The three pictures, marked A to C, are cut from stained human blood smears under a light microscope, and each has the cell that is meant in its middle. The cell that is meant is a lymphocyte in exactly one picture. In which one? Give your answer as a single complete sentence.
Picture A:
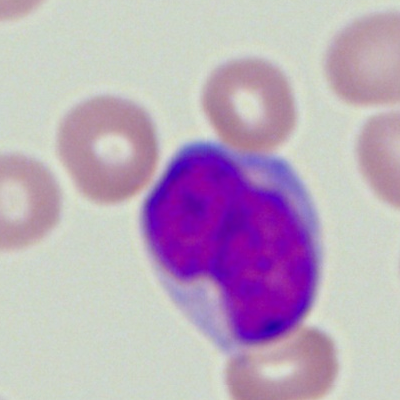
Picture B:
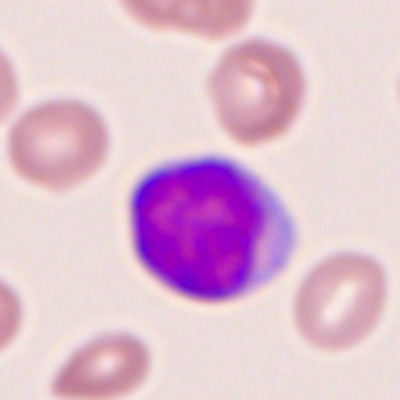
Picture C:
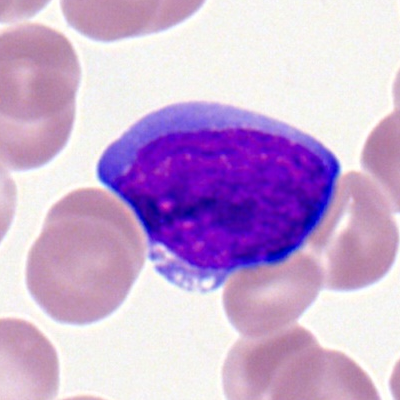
Picture B is the one that shows the lymphocyte.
